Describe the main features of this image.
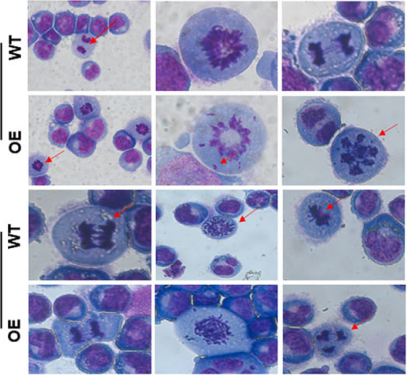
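Several cells are in division, their chromosomes condensed into dark purple clumps, bands or rings in the middle of the cell. Red arrows point to individual dividing cells among smaller neighbouring cells with round purple nuclei. Some enlarged cells hold scattered or multiple clusters of chromatin rather than a single round nucleus.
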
